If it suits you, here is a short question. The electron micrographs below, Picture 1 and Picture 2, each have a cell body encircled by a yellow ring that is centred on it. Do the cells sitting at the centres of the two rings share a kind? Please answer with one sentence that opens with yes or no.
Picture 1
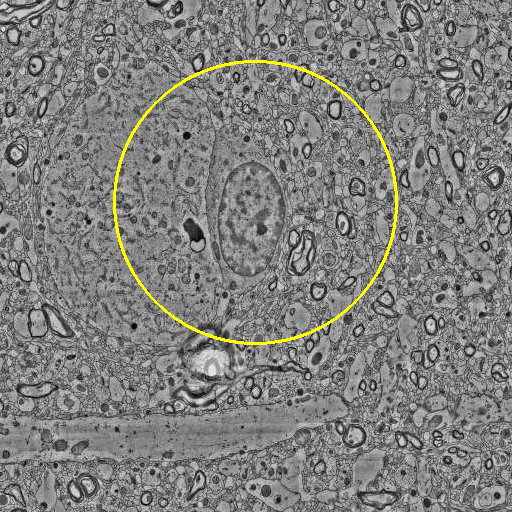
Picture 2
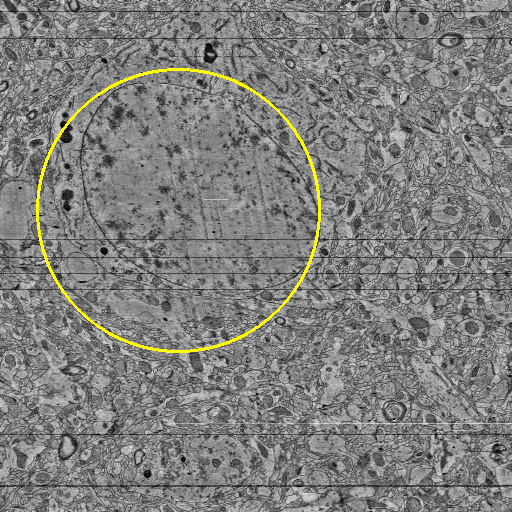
No, the two cells sitting at the ring centres fall into two kinds.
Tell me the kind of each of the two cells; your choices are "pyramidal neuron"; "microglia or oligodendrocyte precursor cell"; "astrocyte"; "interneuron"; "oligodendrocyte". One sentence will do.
The ringed cell is an oligodendrocyte in the first picture and a pyramidal neuron in the second picture.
